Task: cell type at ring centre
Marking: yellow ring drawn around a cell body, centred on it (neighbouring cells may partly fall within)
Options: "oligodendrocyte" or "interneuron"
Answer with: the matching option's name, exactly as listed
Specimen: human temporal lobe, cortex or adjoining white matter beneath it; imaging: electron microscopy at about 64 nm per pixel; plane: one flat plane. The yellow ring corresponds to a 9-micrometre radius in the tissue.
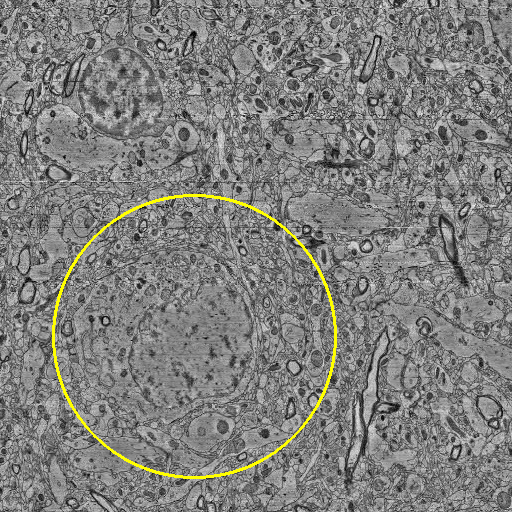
interneuron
